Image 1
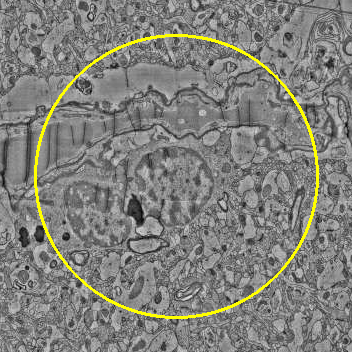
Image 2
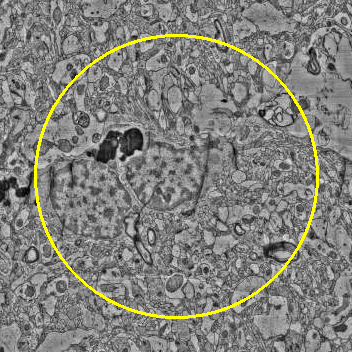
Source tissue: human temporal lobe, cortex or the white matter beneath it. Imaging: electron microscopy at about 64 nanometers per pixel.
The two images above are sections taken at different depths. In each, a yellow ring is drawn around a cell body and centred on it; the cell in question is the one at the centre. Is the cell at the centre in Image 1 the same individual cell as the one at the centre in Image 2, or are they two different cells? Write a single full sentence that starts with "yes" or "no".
Yes, one cell accounts for both of the yellow rings.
